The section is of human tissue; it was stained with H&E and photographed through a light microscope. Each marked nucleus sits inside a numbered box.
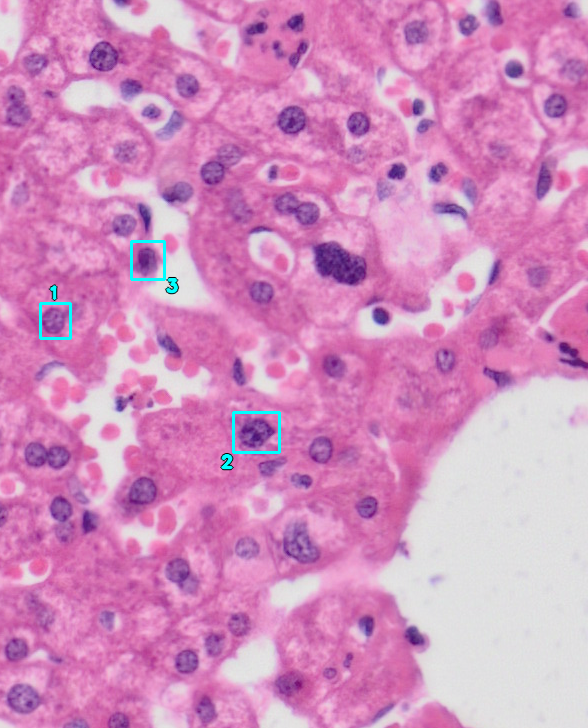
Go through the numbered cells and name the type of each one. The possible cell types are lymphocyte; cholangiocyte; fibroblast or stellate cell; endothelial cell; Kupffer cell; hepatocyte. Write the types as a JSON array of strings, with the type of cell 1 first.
["hepatocyte", "hepatocyte", "Kupffer cell"]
